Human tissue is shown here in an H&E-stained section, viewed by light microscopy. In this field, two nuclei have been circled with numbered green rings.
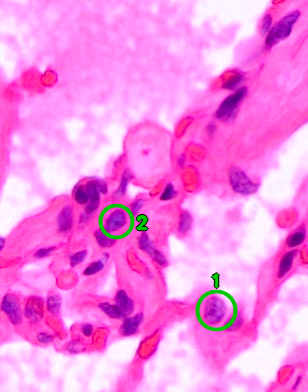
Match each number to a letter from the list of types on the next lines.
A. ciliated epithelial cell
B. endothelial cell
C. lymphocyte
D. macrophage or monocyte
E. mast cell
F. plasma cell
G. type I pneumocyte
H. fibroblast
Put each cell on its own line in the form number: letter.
1: G
2: E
